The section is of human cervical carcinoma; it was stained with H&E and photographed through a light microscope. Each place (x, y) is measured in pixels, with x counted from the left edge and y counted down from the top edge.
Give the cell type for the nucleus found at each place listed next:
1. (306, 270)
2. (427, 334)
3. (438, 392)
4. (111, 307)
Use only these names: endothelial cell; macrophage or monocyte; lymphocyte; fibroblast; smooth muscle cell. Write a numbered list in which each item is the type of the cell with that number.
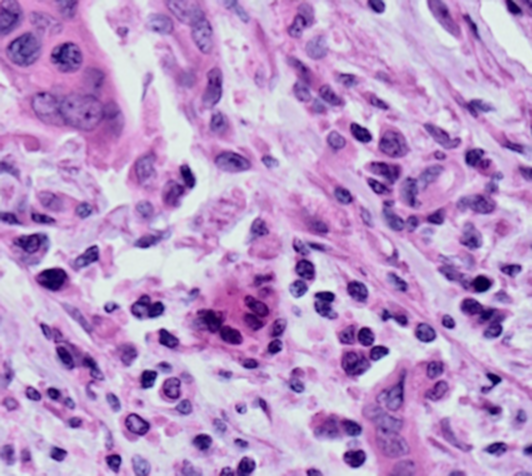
1. lymphocyte
2. lymphocyte
3. macrophage or monocyte
4. lymphocyte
